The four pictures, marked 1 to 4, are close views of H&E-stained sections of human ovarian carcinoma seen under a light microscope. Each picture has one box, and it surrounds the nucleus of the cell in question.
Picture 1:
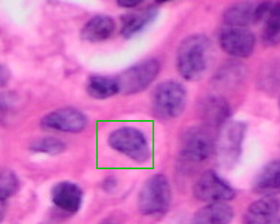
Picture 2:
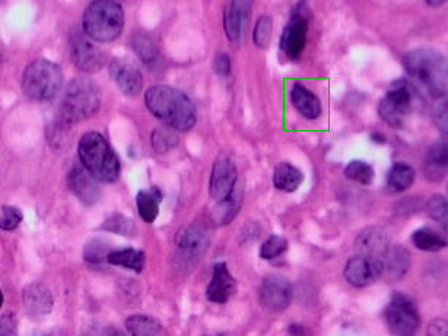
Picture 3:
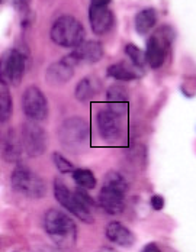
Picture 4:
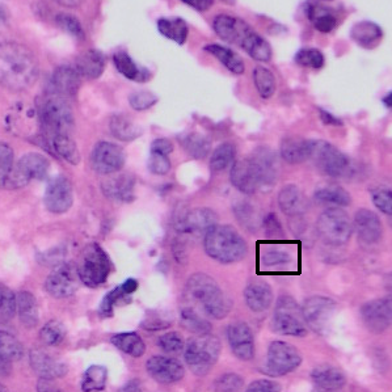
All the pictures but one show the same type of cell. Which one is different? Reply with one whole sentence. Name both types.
Picture 3 is the odd one out: it shows a carcinoma cell, while the others show “macrophages or monocytes”.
